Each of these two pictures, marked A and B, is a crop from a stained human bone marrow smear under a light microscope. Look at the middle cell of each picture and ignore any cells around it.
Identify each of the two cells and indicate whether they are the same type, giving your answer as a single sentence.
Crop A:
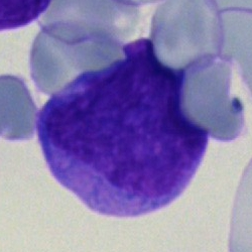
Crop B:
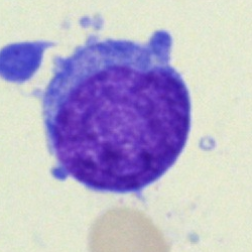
Yes, the central cells in both of the crops are blasts.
